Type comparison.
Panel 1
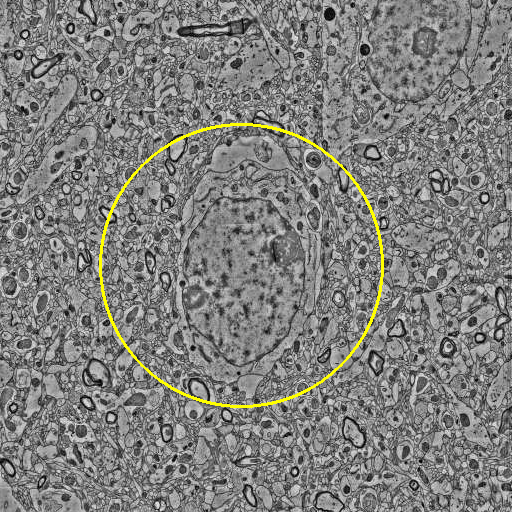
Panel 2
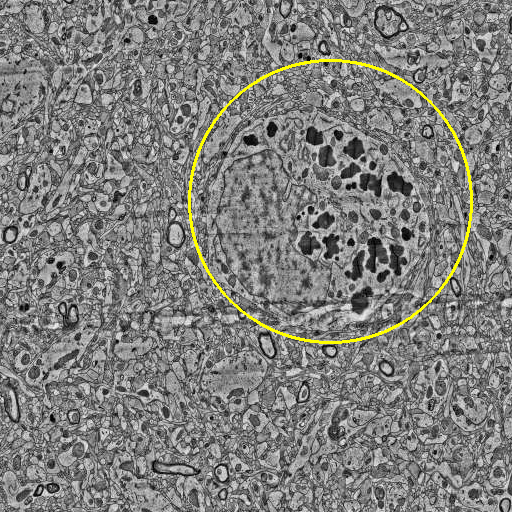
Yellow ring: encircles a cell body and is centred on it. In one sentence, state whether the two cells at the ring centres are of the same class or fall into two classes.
In these panels, the two cells at the ring centres are of the same class.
